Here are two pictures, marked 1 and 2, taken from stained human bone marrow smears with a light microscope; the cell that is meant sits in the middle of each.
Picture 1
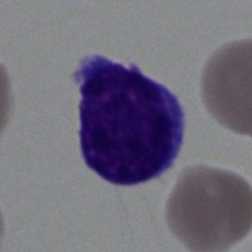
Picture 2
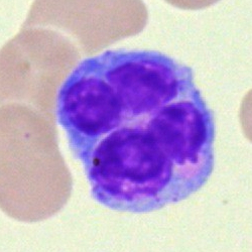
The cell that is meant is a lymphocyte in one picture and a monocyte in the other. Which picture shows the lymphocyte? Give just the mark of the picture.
1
